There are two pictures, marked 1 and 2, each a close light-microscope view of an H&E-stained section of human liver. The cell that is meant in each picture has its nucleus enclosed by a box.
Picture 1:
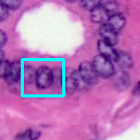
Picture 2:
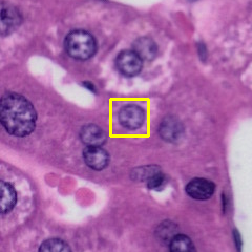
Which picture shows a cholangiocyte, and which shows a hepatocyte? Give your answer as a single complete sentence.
Picture 1 shows a cholangiocyte and picture 2 shows a hepatocyte.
